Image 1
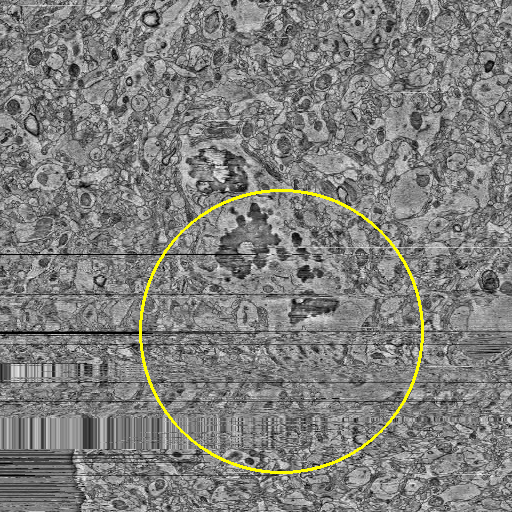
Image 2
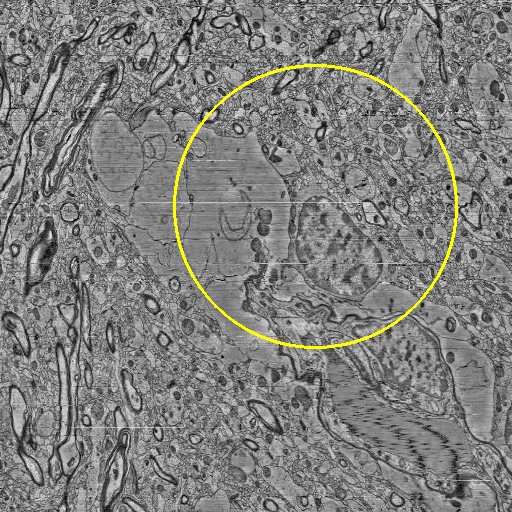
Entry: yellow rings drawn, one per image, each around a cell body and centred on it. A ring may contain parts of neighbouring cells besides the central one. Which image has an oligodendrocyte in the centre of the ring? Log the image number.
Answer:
2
